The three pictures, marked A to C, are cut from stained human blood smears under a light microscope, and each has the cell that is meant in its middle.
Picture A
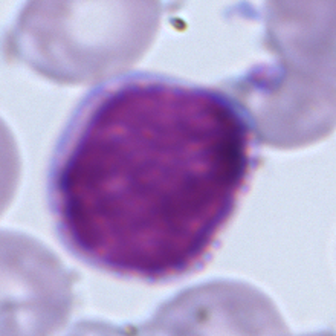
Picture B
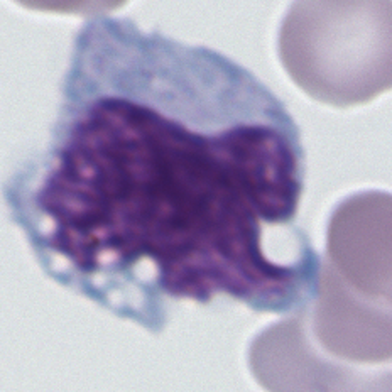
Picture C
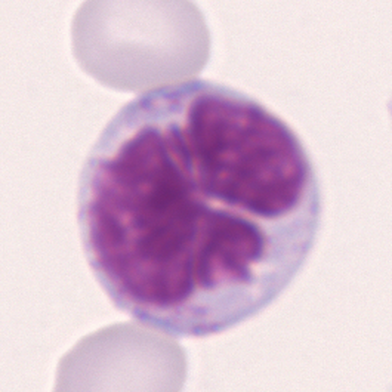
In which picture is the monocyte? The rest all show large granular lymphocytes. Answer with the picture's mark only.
B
